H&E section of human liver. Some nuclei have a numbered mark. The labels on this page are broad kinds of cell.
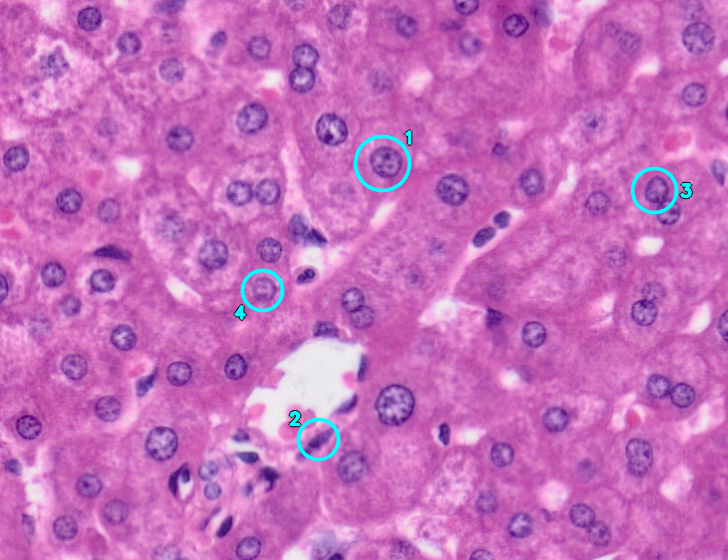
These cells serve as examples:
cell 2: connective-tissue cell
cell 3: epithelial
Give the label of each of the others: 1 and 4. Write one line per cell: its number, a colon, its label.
1: epithelial
4: epithelial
